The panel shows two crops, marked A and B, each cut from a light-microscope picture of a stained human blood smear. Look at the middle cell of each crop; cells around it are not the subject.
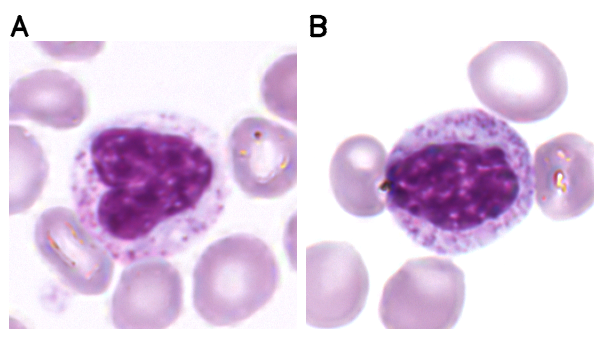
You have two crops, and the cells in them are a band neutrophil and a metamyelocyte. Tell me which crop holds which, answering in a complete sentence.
Crop B shows a metamyelocyte, and crop A shows a band neutrophil.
